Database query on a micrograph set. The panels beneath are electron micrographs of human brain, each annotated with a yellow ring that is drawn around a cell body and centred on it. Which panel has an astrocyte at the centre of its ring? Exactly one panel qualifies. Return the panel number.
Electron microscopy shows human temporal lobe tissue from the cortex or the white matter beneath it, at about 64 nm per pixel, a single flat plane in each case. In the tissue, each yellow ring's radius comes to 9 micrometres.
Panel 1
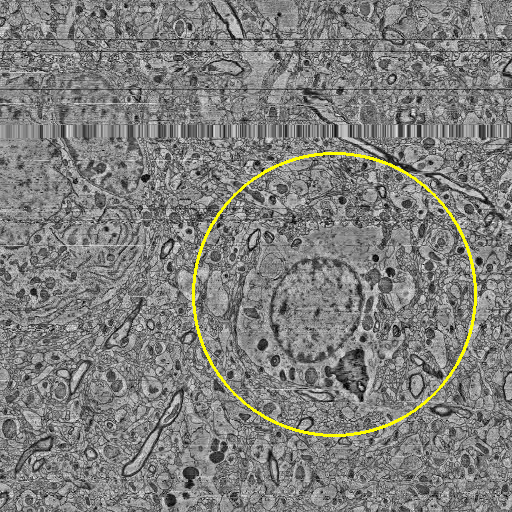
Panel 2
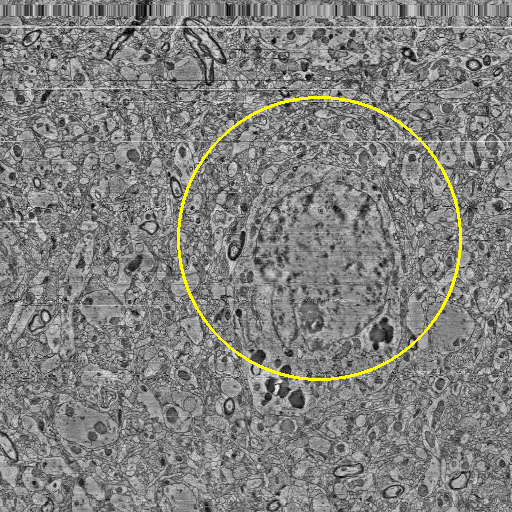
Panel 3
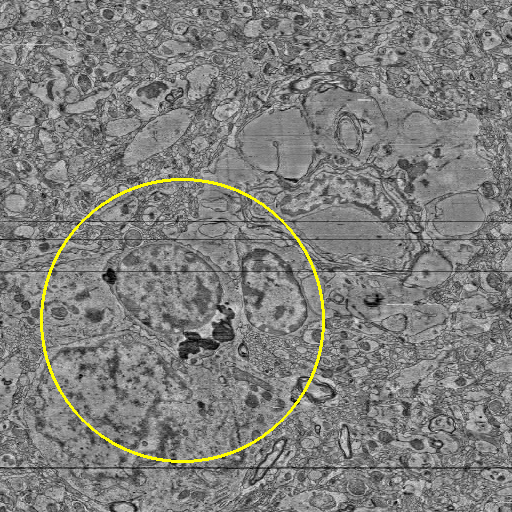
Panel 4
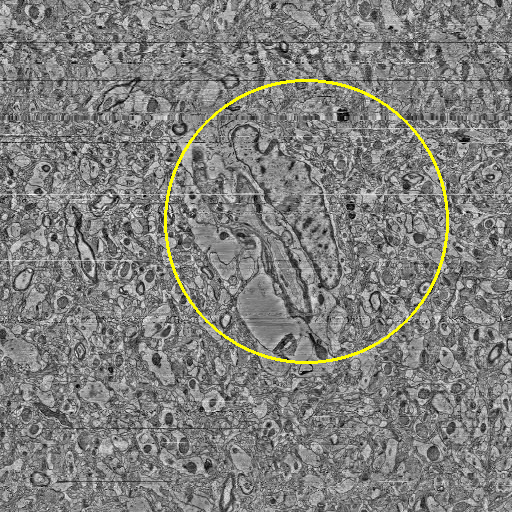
1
